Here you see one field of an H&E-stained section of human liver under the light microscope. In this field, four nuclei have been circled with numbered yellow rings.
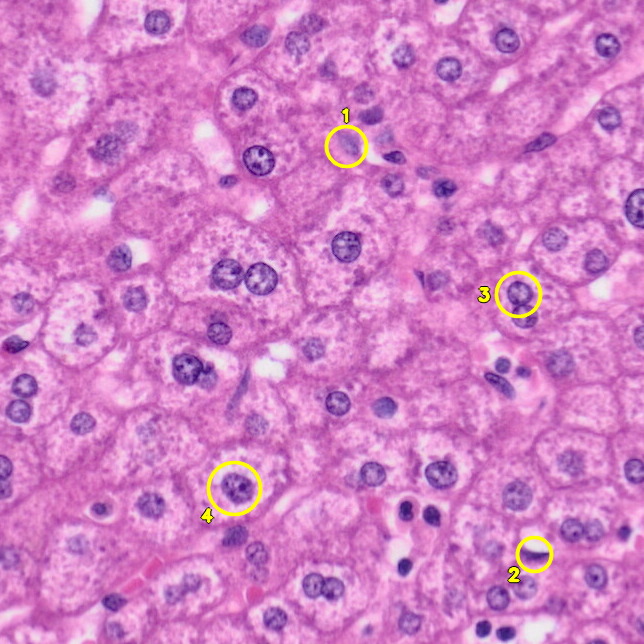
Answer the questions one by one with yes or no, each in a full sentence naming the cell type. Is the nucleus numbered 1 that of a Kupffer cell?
Yes, within this section, cell number 1 is a Kupffer cell.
